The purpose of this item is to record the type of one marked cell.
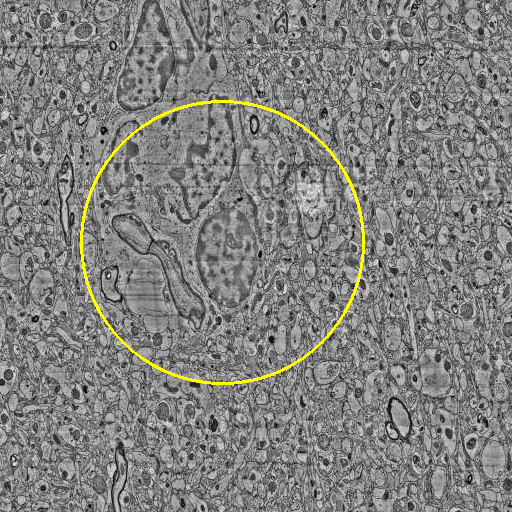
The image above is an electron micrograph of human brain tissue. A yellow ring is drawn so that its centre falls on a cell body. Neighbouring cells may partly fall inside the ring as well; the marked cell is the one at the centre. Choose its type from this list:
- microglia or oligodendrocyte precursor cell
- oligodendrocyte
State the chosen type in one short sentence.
What the ring marks here is an oligodendrocyte.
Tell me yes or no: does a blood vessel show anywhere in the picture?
Yes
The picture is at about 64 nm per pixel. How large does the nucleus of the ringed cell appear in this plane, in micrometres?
The nucleus is approximately 6 micrometers long by 4 micrometers wide in this plane.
